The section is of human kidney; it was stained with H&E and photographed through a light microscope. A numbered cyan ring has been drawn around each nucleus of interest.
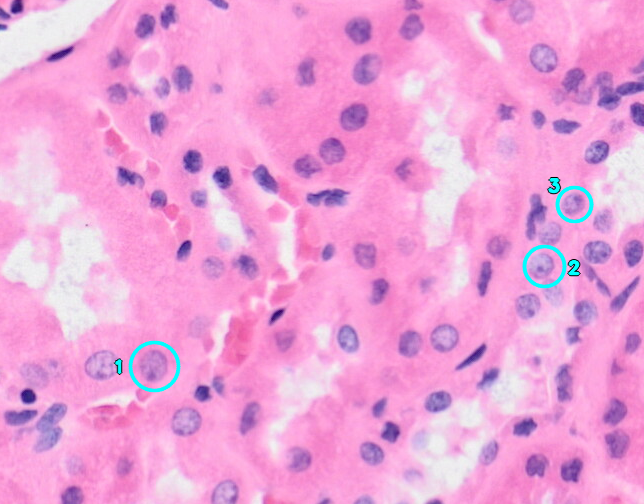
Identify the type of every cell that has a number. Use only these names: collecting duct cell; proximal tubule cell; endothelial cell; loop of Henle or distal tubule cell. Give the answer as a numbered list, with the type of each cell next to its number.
1. proximal tubule cell
2. loop of Henle or distal tubule cell
3. loop of Henle or distal tubule cell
